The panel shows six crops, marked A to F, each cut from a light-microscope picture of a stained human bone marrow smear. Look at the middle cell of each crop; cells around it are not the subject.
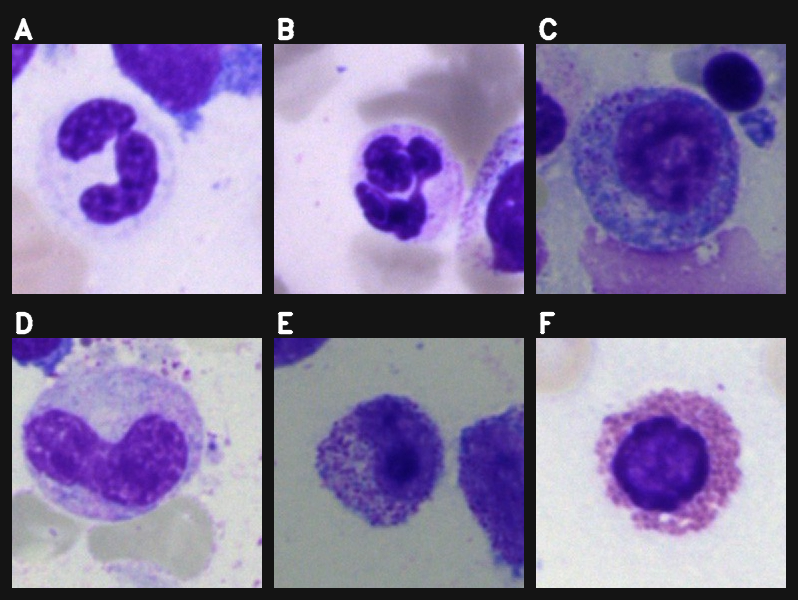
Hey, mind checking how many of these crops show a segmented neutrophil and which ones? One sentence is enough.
Crops A and B are the two that show segmented neutrophils.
